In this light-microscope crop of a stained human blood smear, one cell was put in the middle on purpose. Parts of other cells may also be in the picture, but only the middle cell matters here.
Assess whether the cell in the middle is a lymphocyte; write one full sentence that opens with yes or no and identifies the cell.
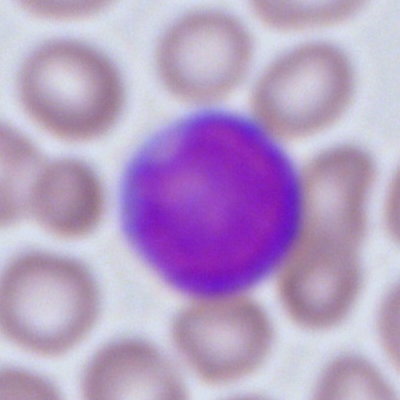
No, rather than a lymphocyte, the central cell is a myeloblast.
